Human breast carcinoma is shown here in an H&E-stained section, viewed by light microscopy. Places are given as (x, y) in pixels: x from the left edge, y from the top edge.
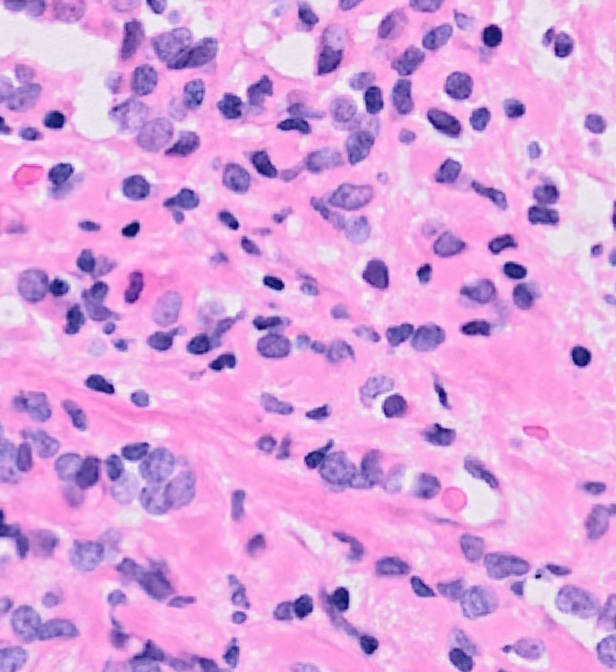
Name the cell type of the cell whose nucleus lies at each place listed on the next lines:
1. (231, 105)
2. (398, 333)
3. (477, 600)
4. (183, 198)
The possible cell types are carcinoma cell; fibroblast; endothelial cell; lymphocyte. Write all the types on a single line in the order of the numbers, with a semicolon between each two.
lymphocyte; lymphocyte; carcinoma cell; lymphocyte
